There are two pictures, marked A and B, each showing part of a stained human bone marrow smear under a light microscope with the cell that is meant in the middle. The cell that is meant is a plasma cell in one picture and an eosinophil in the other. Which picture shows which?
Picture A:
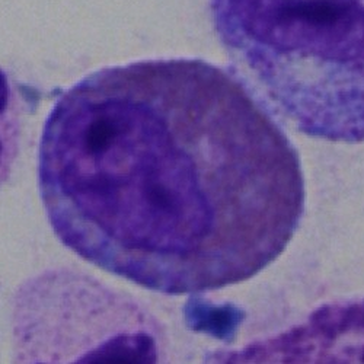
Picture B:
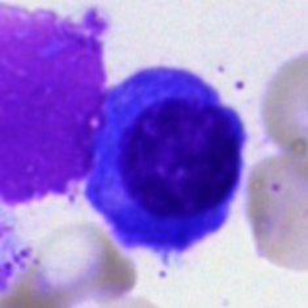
A: eosinophil
B: plasma cell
